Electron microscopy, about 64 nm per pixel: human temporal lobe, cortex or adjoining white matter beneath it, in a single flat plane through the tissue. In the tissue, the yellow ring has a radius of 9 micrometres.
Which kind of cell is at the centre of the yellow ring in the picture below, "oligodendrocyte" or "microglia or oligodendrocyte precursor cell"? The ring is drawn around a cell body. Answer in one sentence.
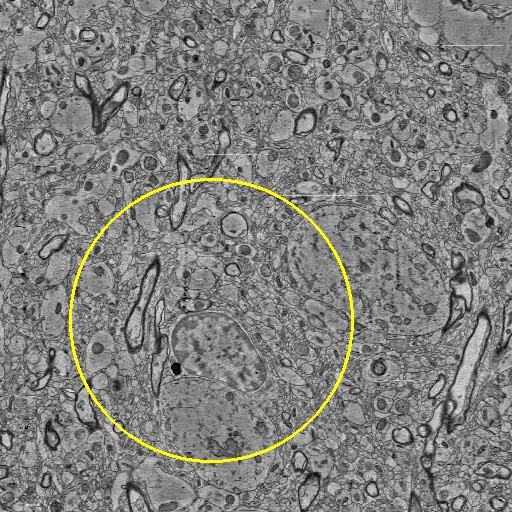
The ring's central cell is a microglial cell or oligodendrocyte precursor cell.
